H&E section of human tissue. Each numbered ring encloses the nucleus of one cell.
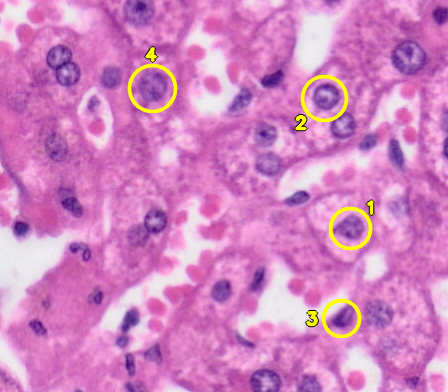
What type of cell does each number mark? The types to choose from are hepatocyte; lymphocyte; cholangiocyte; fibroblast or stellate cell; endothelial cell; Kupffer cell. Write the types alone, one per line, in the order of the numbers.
hepatocyte
hepatocyte
Kupffer cell
hepatocyte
